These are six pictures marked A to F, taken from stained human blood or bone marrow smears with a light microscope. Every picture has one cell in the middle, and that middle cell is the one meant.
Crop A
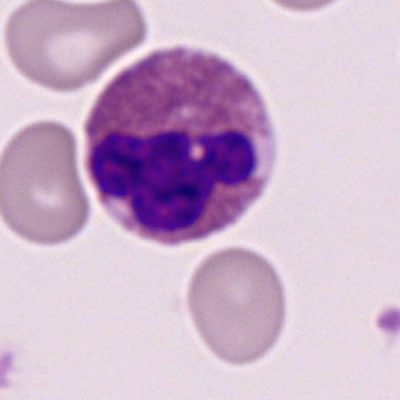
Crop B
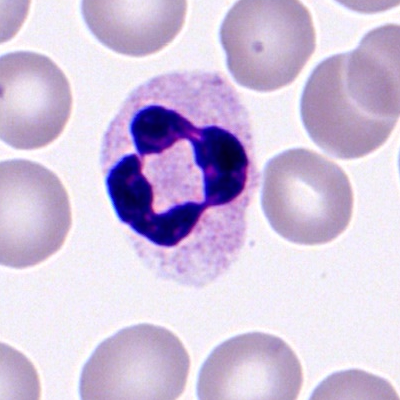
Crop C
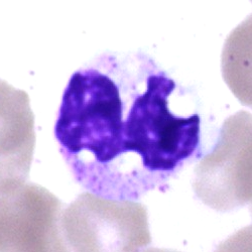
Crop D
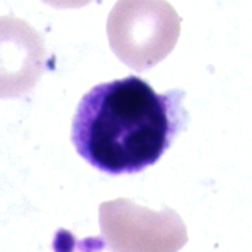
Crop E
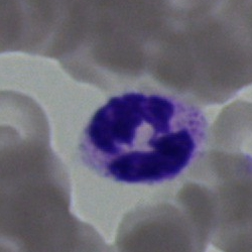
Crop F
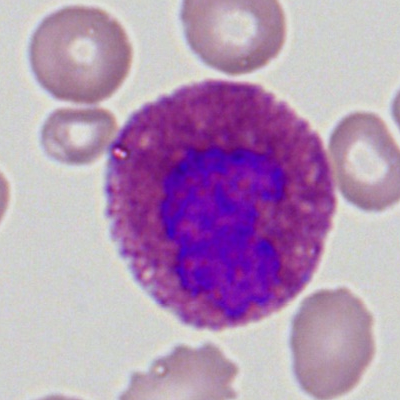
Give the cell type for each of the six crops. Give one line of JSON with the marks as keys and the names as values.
{"A": "eosinophil", "B": "segmented neutrophil", "C": "segmented neutrophil", "D": "segmented neutrophil", "E": "segmented neutrophil", "F": "eosinophil"}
